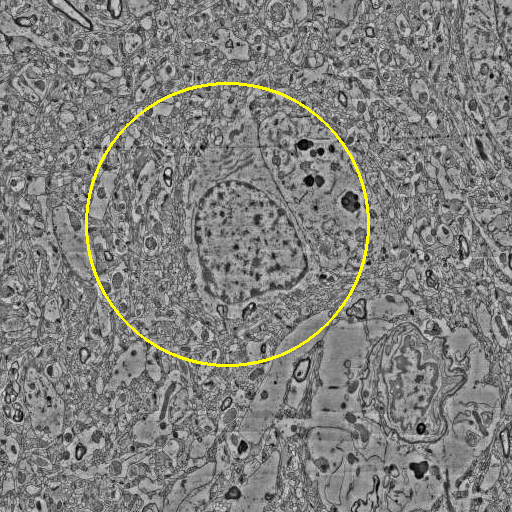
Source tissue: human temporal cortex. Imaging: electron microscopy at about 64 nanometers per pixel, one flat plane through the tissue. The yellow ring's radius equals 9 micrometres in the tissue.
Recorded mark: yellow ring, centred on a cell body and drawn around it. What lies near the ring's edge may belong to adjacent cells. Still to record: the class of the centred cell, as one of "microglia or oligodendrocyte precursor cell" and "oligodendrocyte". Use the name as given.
microglia or oligodendrocyte precursor cell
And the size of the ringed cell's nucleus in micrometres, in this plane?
The nucleus measures about 8 micrometers across in this plane.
